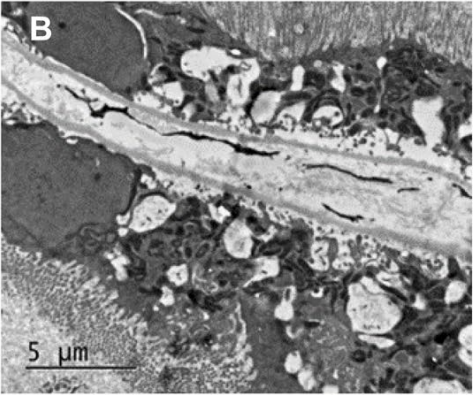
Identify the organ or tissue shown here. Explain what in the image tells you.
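Epithelial cells on either side carry a tall, dense brush border of microvilli. A thin vessel wall runs diagonally between the two epithelia.
Proximal renal tubules.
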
